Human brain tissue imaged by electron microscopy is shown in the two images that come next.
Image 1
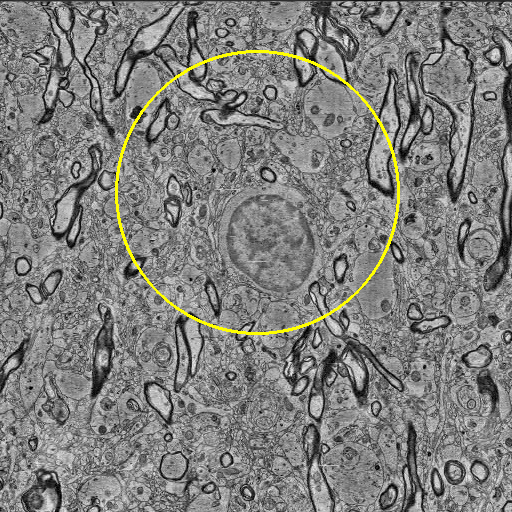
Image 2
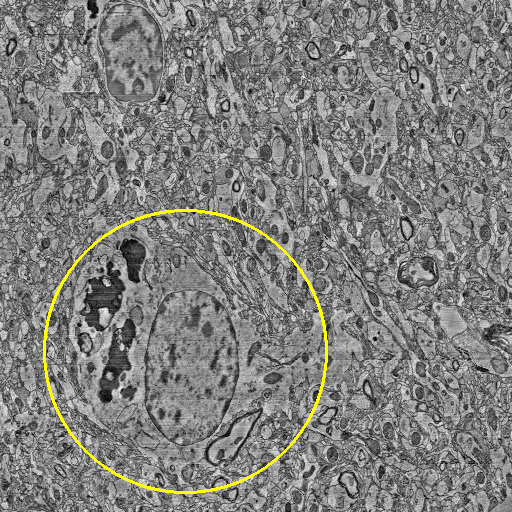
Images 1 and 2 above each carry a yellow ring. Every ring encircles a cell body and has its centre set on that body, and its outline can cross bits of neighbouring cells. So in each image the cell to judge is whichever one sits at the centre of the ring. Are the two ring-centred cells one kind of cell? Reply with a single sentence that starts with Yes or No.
No, in Image 1 and Image 2 the cells at the centres of their rings fall into two types.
